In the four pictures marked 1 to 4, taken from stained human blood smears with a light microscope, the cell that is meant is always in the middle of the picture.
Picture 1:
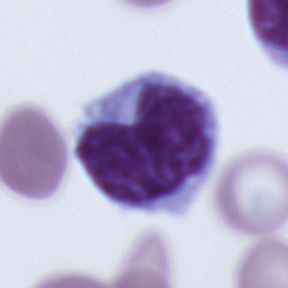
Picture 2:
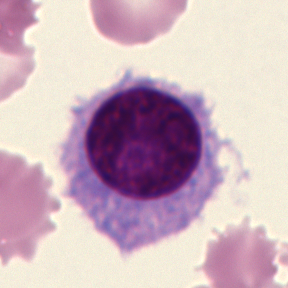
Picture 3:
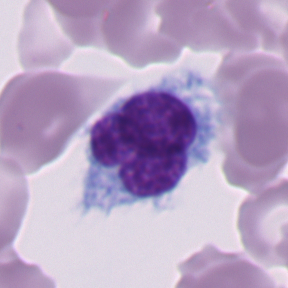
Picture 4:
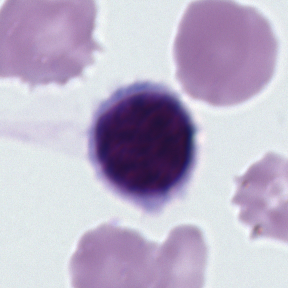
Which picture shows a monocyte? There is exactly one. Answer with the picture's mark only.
1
